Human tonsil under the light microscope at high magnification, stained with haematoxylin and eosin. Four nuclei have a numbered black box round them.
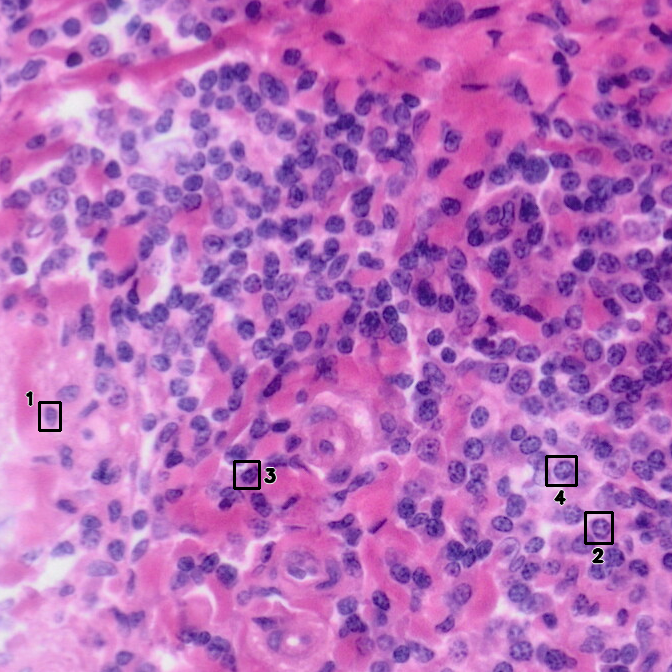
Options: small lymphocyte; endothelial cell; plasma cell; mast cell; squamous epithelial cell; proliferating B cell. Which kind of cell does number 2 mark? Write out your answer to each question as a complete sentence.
Heads up, the cell numbered 2 is a plasma cell.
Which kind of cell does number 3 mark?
The cell referenced by the number 3 is a plasma cell in this field.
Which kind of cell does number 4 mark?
The cell with the number 4 is a plasma cell.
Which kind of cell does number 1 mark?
Of the numbered cells, the one labelled 1 is a mast cell.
